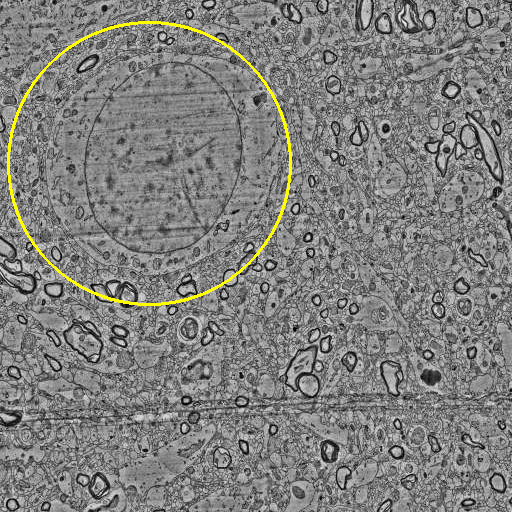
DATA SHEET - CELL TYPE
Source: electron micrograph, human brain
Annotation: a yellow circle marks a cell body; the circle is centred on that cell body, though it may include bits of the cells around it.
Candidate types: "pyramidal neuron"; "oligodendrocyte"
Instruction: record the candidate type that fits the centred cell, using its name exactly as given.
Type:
pyramidal neuron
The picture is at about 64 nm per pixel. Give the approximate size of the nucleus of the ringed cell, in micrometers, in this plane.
Approximately 12 x 10 micrometres in this plane.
